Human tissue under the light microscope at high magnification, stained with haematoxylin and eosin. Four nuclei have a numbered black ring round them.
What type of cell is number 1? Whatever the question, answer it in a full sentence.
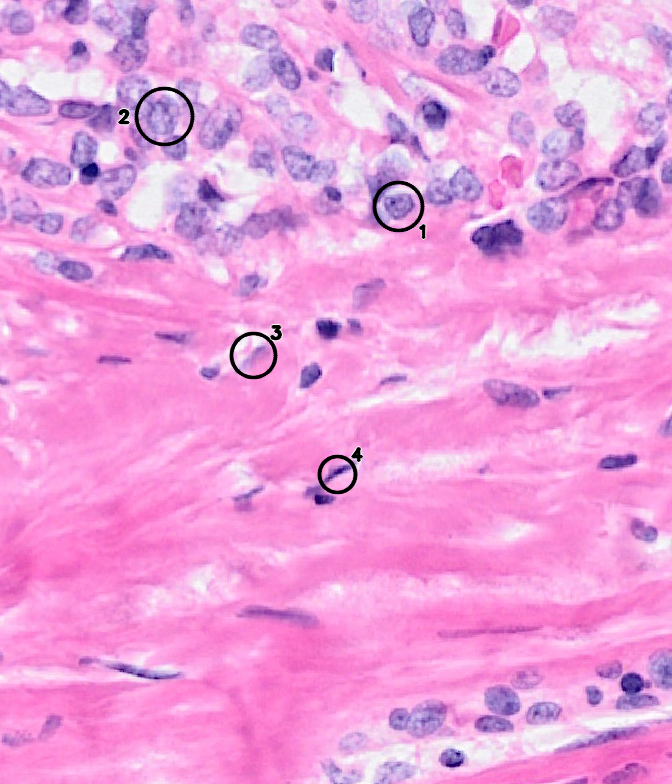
Looking at the numbered marks, cell 1 is a carcinoma cell.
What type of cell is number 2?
The numbered cell 2 is identified here as a carcinoma cell.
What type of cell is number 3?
The expected answer is that cell 3 is a fibroblast.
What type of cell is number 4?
Cell number 4 in this section is a fibroblast.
